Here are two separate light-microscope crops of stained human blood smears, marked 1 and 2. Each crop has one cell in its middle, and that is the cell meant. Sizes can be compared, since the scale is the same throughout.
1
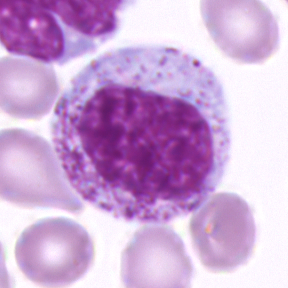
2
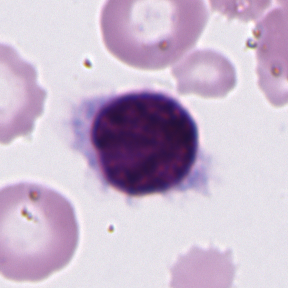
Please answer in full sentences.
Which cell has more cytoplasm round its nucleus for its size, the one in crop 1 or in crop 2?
Of the two, the nucleus in crop 1 leaves more room for cytoplasm.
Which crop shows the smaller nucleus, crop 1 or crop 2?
It is the nucleus in crop 2; the one in crop 1 has about 1.5 times its area.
